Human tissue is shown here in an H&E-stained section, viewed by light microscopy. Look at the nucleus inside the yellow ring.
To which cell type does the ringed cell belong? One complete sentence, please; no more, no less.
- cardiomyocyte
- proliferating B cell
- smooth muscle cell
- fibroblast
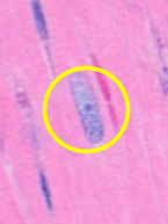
Microscopically, the ringed cell is categorized as a cardiomyocyte.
